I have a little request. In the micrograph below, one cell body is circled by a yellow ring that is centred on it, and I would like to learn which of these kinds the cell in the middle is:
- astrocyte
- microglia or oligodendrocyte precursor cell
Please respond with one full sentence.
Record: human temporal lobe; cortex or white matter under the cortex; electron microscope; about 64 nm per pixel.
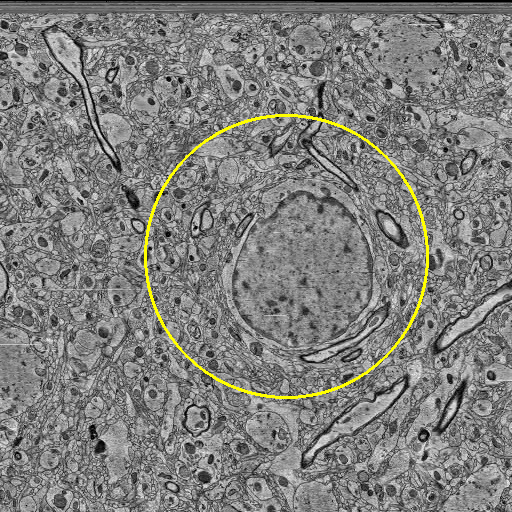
The cell sitting in the middle of the yellow ring in the micrograph is a microglial cell or oligodendrocyte precursor cell.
